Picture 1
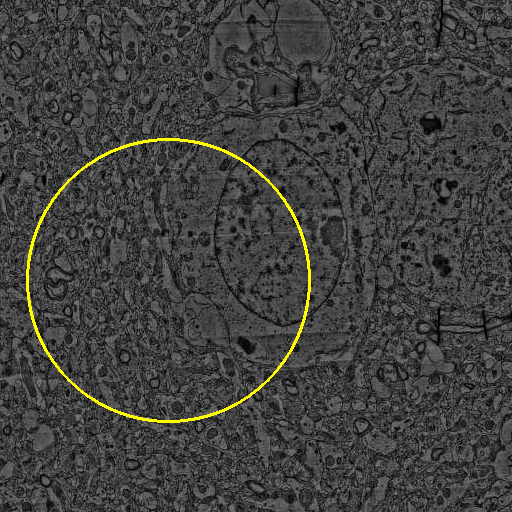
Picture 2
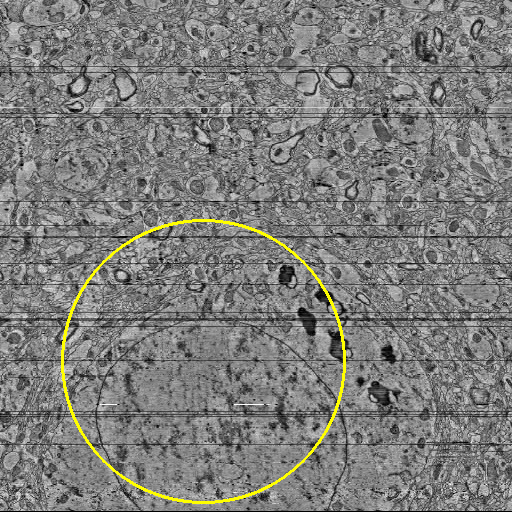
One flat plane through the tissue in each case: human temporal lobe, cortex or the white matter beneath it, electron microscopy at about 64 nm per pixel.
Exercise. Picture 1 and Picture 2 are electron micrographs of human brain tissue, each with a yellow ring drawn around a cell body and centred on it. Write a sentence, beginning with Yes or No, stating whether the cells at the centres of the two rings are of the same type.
No, the cells at the centres of the rings are of two types.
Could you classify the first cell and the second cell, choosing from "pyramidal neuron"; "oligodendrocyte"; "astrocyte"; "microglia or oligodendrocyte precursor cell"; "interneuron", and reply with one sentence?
The second cell is a pyramidal neuron, while the first is an oligodendrocyte.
